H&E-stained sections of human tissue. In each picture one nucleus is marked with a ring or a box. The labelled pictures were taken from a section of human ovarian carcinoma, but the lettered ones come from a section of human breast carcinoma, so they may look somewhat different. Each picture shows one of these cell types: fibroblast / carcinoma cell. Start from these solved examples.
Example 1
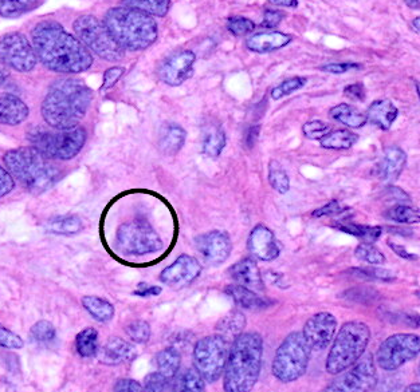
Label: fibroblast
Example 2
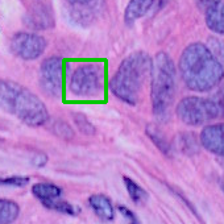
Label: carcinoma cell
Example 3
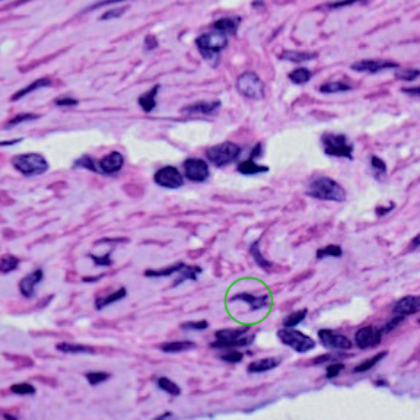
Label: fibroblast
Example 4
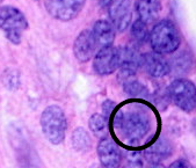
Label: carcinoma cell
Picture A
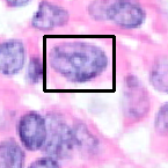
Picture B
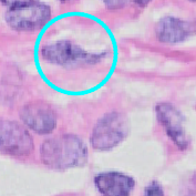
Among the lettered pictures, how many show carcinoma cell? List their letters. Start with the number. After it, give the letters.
Count: 1 (A)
